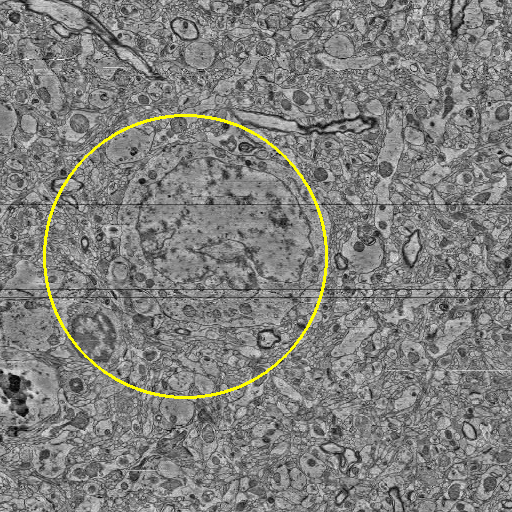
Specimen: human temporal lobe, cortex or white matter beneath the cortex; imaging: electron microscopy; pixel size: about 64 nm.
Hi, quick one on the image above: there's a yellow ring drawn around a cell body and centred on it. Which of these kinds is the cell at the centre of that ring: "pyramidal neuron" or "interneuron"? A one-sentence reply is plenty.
The cell at the centre of the ring is an interneuron.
